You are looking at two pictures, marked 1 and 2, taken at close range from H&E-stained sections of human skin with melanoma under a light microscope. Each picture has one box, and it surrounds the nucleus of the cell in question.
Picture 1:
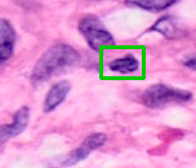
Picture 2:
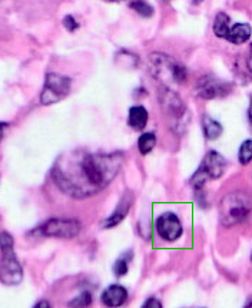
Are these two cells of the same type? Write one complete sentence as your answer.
Yes, both cells are lymphocytes.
